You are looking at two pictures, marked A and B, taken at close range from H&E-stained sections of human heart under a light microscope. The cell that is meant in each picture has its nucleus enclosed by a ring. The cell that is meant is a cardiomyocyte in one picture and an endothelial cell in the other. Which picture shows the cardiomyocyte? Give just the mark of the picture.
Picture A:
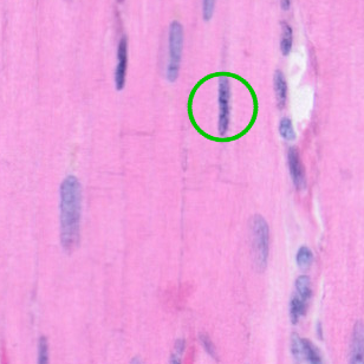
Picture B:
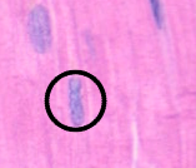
B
